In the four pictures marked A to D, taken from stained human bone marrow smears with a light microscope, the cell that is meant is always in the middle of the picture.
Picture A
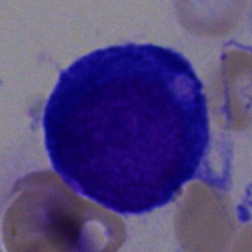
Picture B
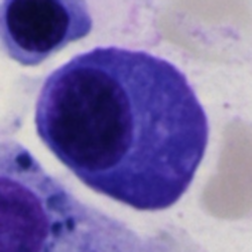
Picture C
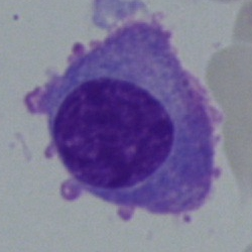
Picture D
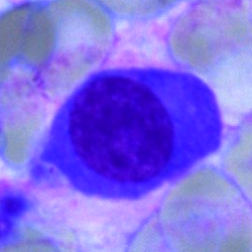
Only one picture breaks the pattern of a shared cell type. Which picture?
A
